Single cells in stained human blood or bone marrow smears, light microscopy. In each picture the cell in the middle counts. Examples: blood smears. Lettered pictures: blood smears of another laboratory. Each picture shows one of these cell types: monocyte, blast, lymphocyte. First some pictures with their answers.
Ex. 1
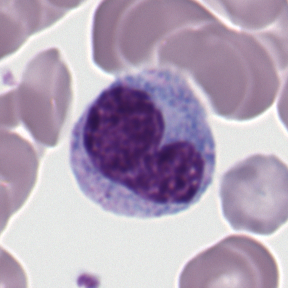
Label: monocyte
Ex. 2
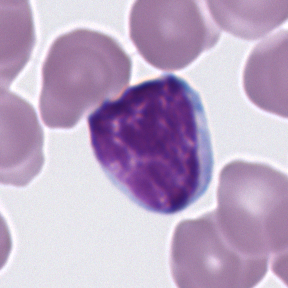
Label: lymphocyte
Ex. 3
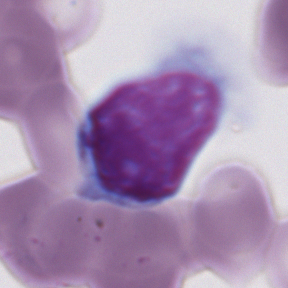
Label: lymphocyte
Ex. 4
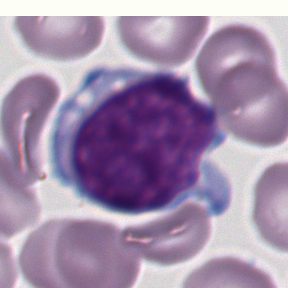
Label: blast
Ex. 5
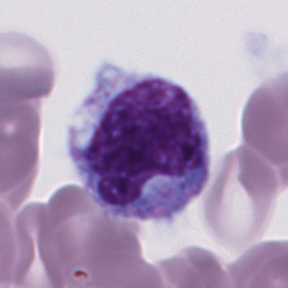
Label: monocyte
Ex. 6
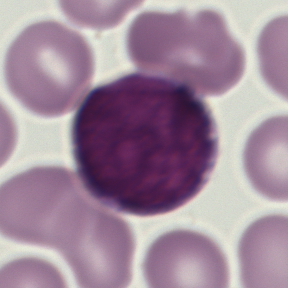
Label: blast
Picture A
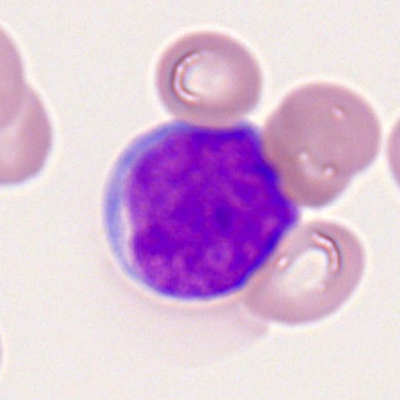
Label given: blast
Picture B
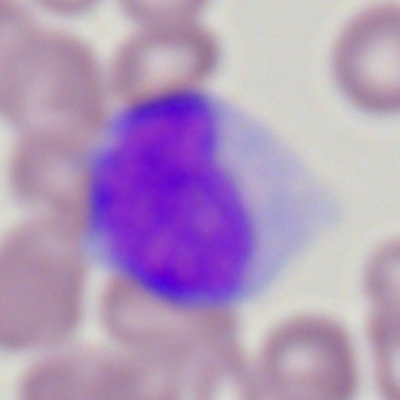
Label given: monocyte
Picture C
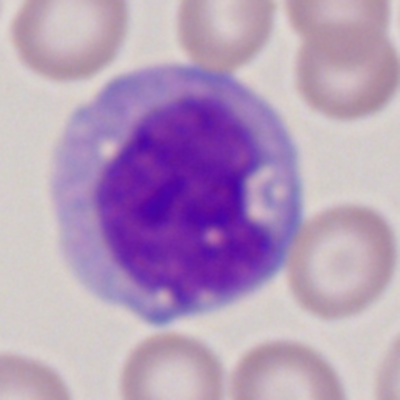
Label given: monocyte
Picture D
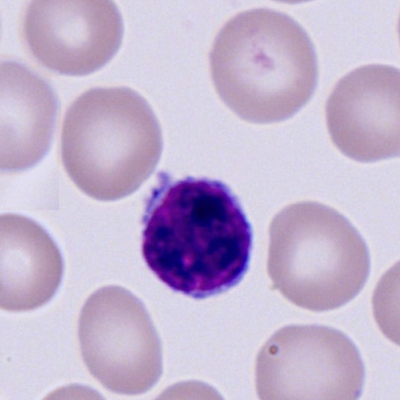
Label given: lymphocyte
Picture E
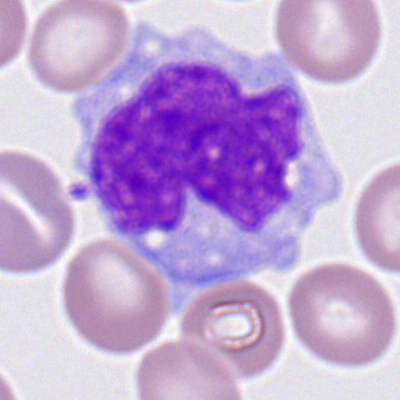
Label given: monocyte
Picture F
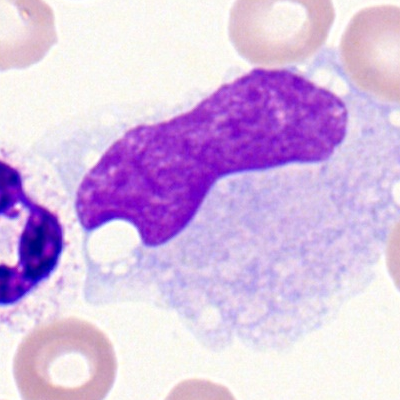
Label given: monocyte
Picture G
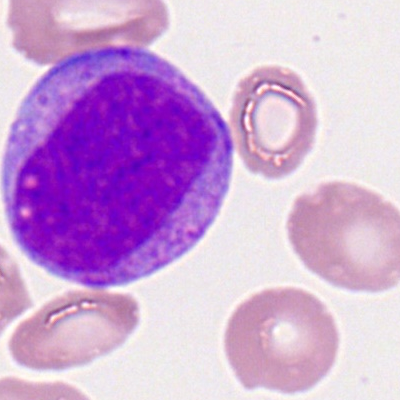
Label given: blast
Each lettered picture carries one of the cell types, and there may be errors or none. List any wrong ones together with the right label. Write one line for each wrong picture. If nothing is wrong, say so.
No label is wrong.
